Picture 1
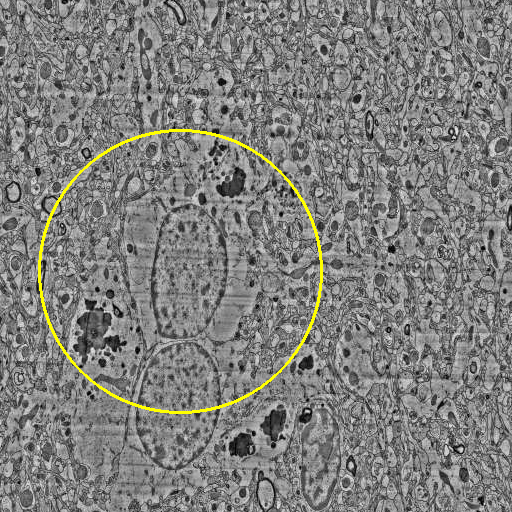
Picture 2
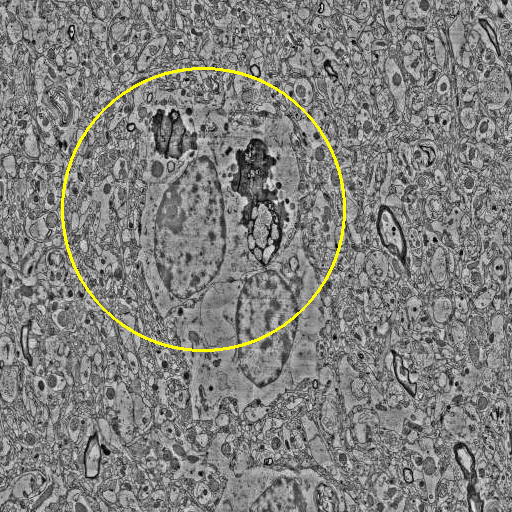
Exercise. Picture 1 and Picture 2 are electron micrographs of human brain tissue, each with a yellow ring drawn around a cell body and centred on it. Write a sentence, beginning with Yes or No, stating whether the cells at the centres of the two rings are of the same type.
Yes, the cells at the centres of both rings are of the same type.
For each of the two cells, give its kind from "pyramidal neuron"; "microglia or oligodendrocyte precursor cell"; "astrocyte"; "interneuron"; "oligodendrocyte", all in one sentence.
Both rings mark an astrocyte, one in each picture.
